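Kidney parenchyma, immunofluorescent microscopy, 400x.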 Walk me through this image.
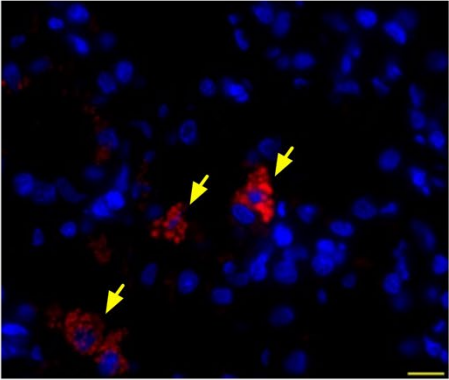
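The labelled cells sit singly or in small groups of two among the unlabelled cells. In each, the red lies as many fine granules packed through the cytoplasm around a blue nucleus, giving a speckled, dotted appearance rather than an even fill. Faint red specks also lie loosely between the other cells. The labelled cells are somewhat larger and rounder than most of the surrounding nuclei suggest for their neighbours, and no organised tissue layers are clearly made out.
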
